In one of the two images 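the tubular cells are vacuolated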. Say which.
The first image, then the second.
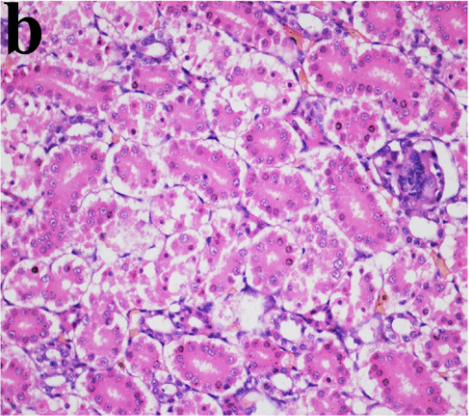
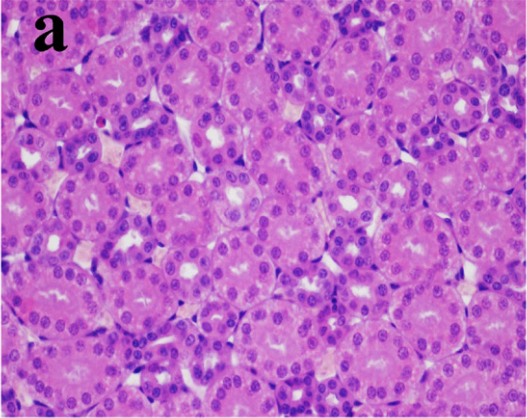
The first image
